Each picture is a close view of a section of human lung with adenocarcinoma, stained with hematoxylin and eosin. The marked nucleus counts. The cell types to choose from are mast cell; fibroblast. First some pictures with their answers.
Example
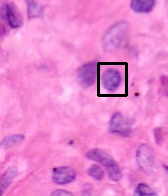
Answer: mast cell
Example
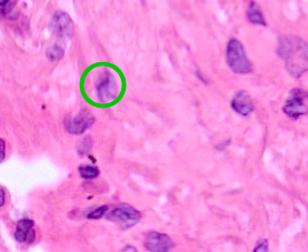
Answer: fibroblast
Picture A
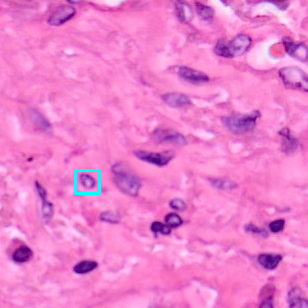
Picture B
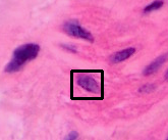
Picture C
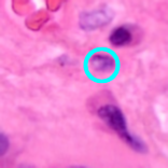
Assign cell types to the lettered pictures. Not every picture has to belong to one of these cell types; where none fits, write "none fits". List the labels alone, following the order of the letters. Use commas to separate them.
mast cell, none fits, mast cell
